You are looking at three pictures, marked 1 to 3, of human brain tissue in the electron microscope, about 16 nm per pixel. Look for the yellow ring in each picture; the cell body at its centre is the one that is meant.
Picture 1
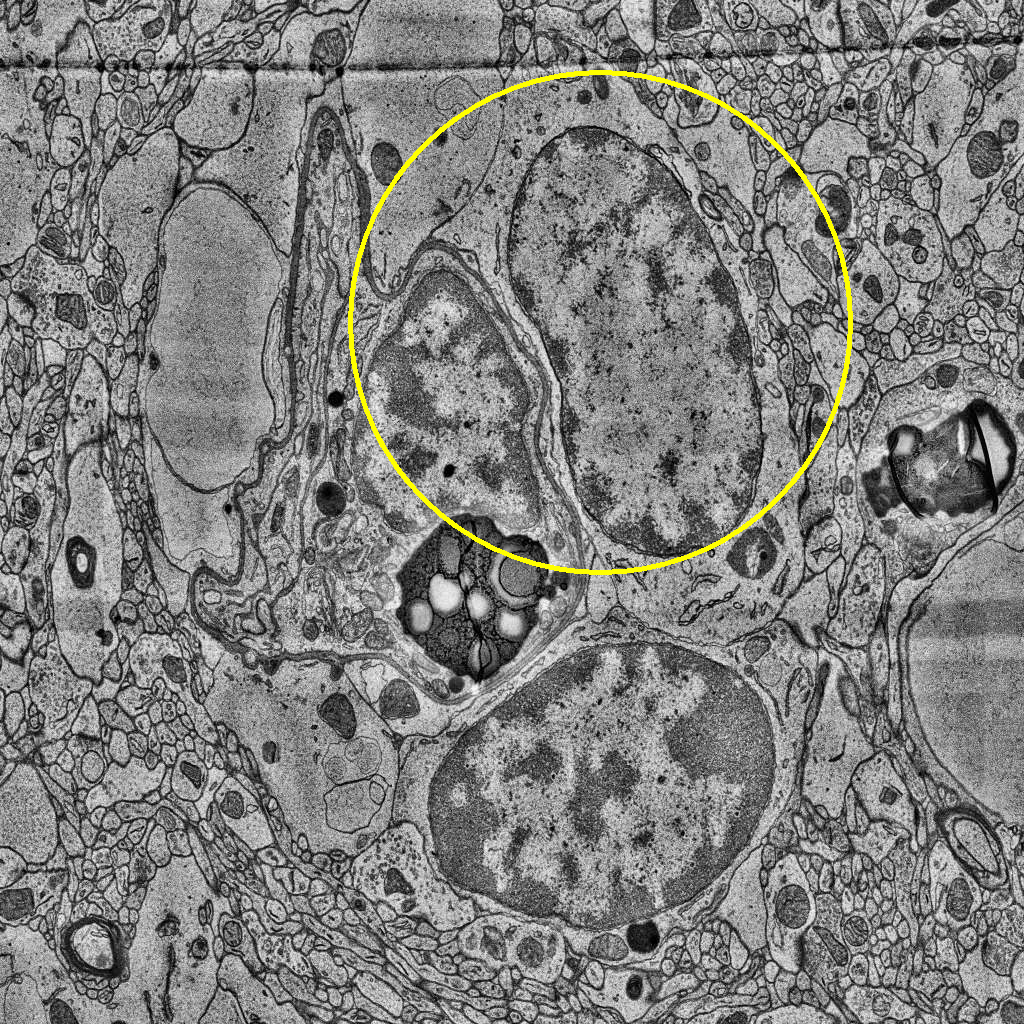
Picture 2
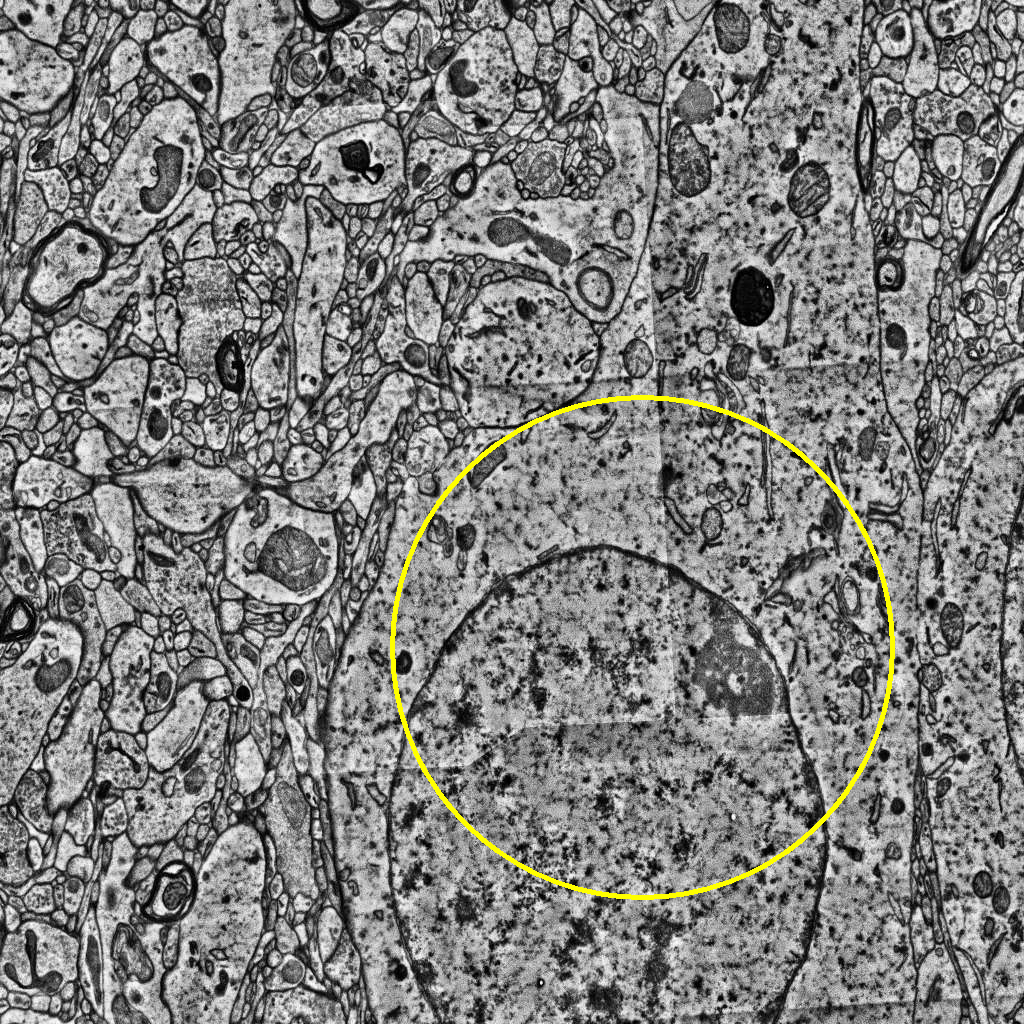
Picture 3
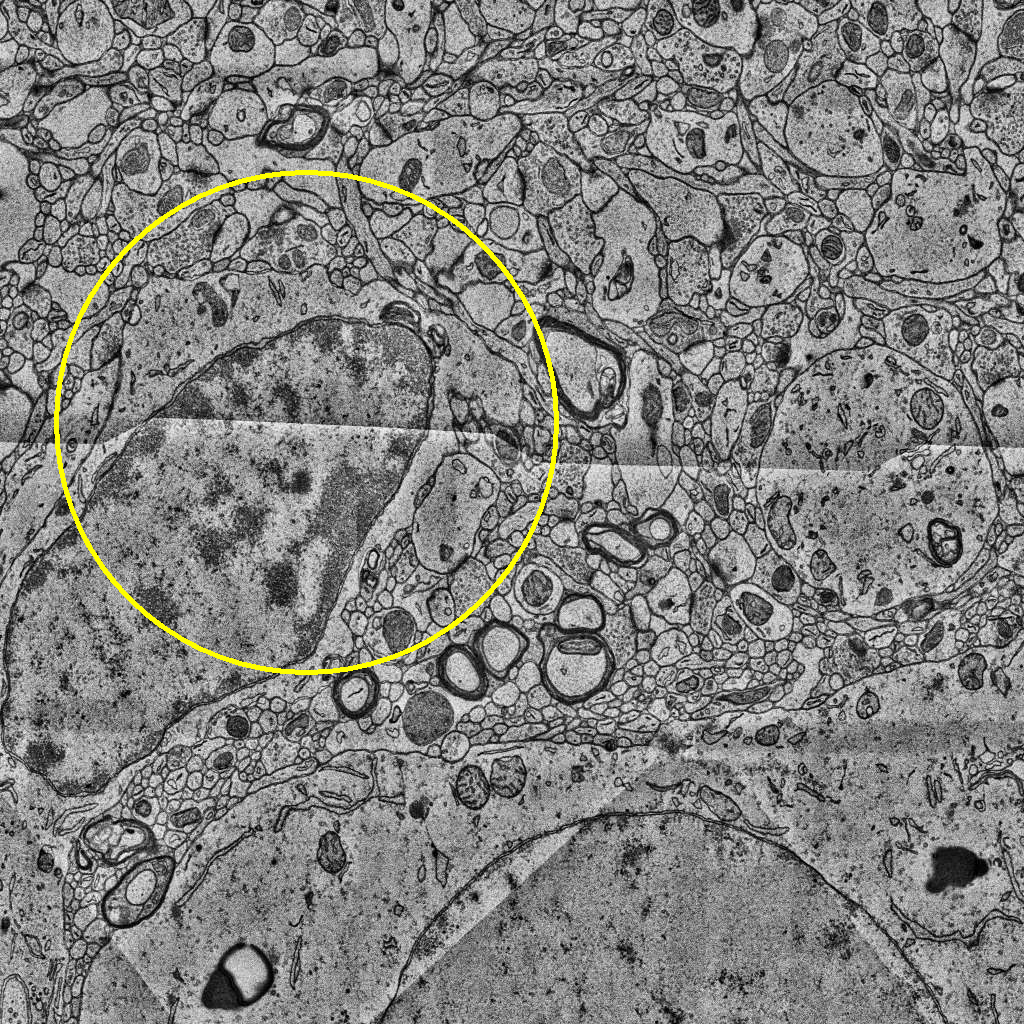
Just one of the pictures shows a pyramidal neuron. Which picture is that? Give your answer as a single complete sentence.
Picture 2 is the one that shows the pyramidal neuron.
